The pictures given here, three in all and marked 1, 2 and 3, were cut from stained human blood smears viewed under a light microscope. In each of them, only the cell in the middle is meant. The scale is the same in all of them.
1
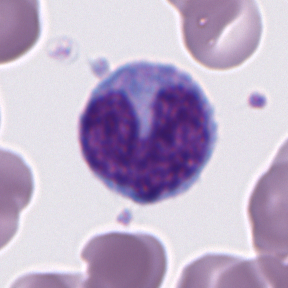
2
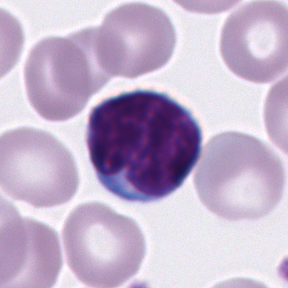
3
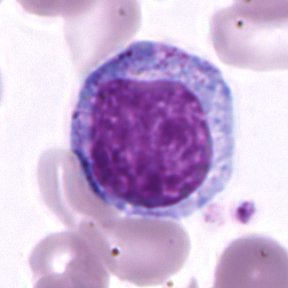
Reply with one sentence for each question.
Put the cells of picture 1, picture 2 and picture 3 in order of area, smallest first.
Going up, they run 2, 1, 3.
